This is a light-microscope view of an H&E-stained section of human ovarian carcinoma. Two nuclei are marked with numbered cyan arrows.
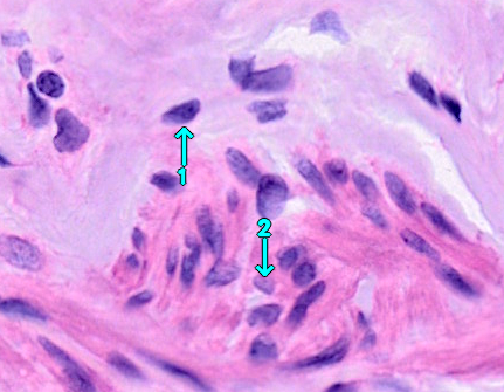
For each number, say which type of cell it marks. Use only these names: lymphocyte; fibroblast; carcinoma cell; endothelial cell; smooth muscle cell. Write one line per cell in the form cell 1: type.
cell 1: fibroblast
cell 2: smooth muscle cell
